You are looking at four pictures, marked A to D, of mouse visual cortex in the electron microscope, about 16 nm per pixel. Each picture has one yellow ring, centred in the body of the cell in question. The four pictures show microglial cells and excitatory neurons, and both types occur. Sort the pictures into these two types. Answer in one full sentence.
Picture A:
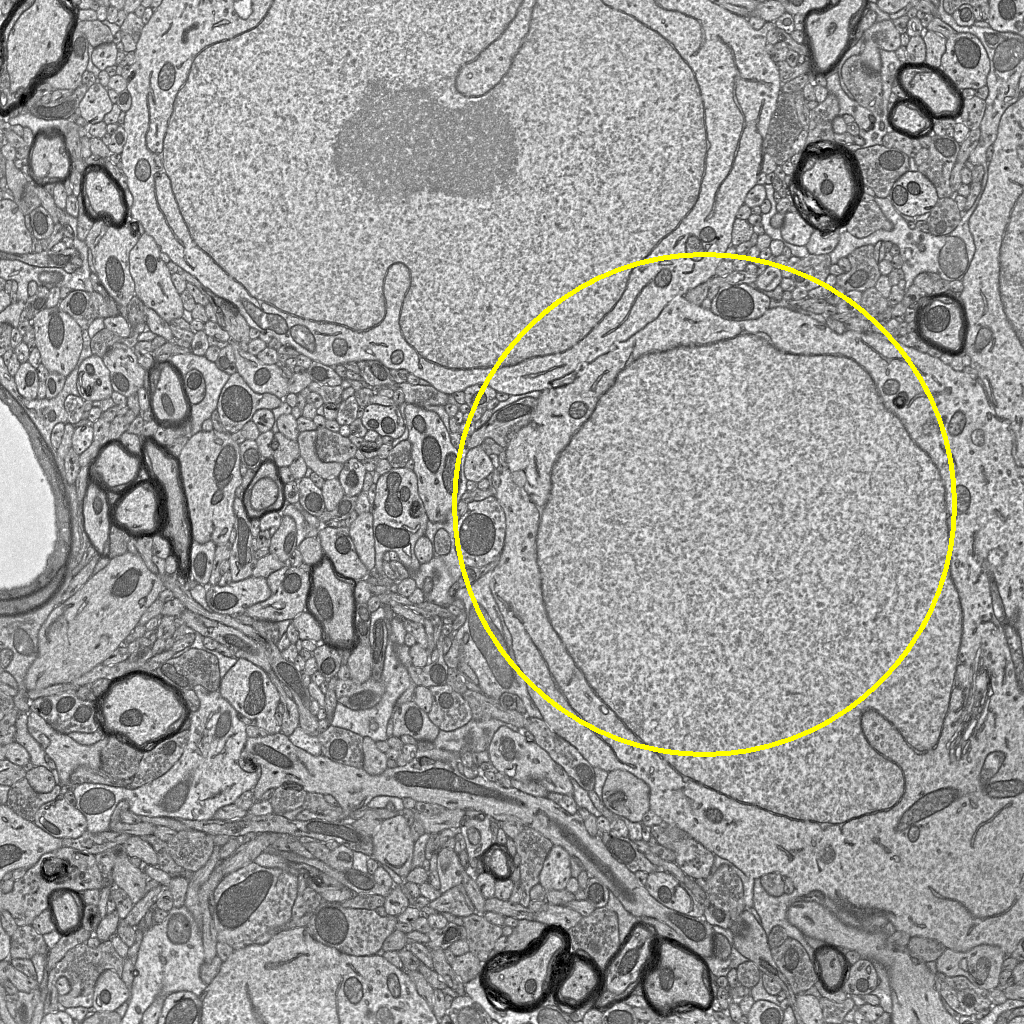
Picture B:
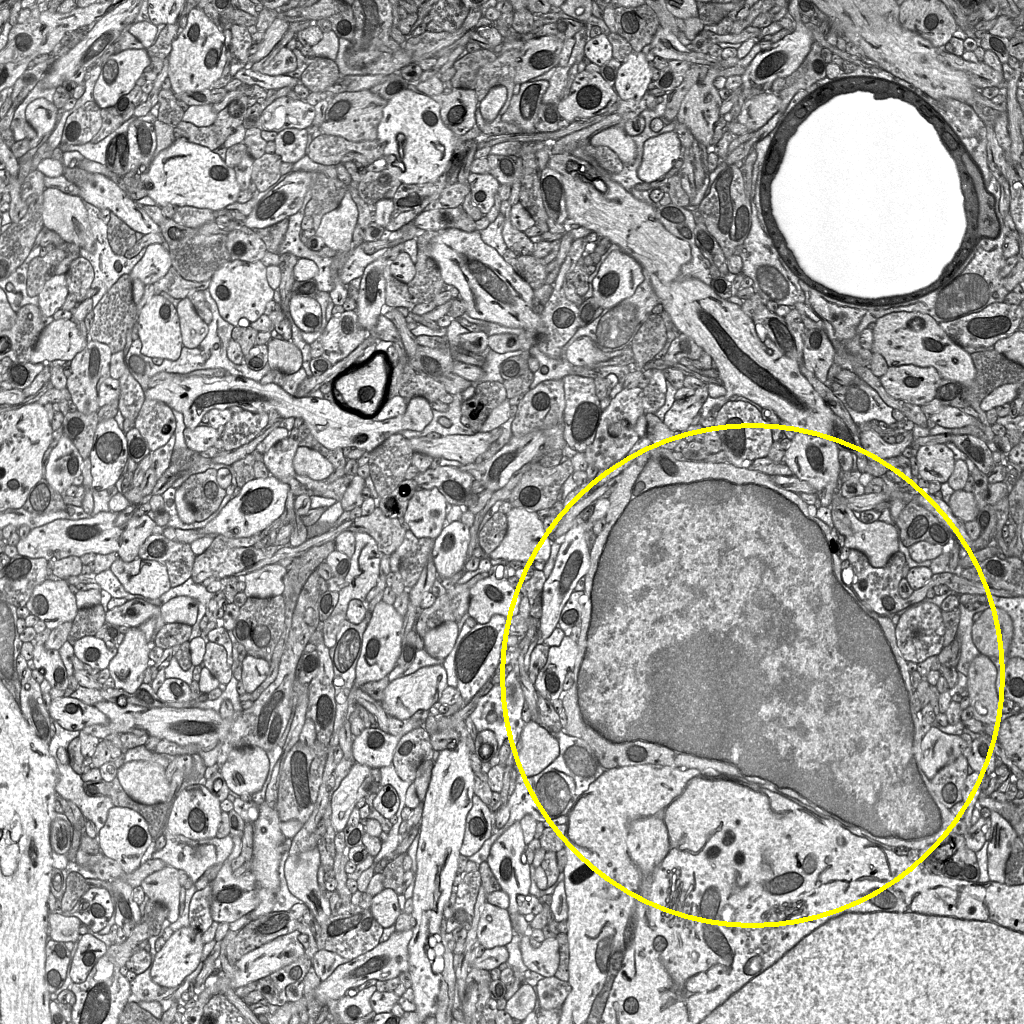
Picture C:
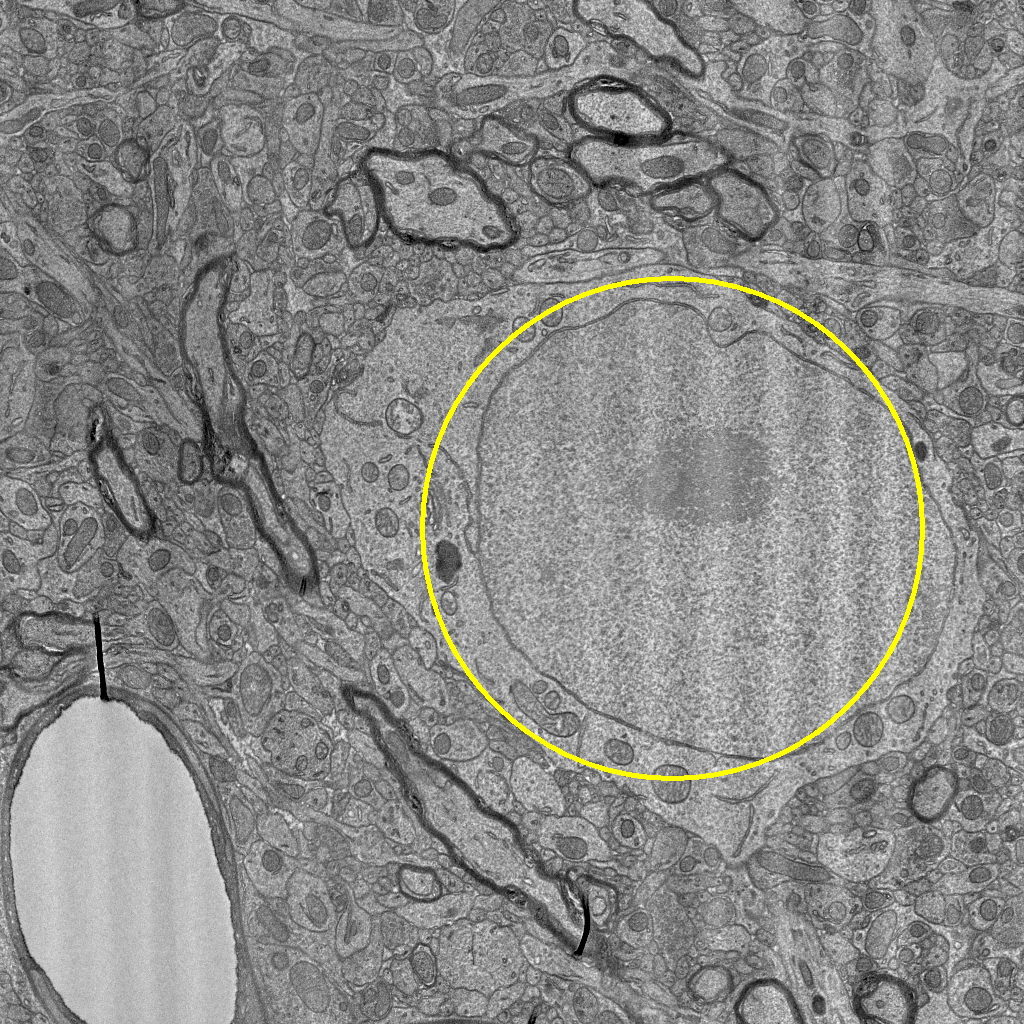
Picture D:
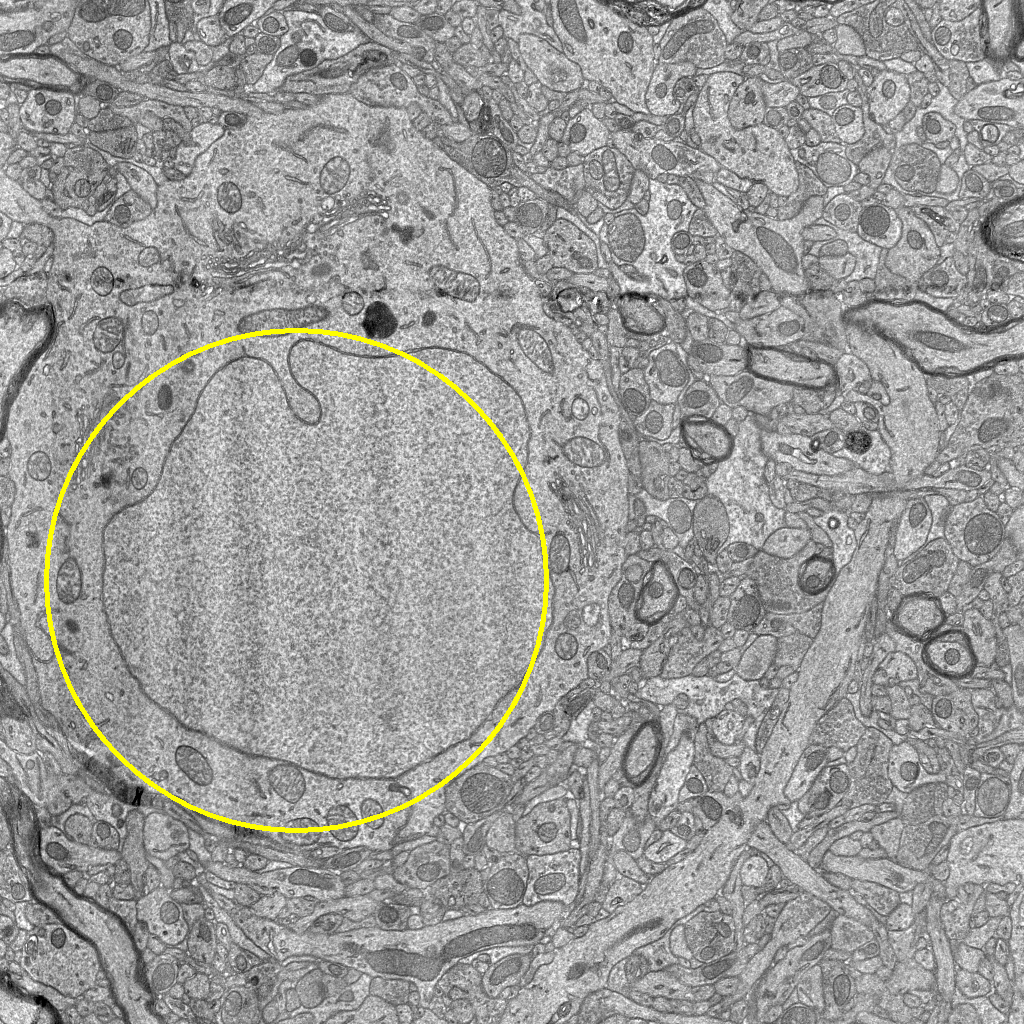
Picture B shows a microglial cell, and pictures A, C and D show excitatory neurons.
